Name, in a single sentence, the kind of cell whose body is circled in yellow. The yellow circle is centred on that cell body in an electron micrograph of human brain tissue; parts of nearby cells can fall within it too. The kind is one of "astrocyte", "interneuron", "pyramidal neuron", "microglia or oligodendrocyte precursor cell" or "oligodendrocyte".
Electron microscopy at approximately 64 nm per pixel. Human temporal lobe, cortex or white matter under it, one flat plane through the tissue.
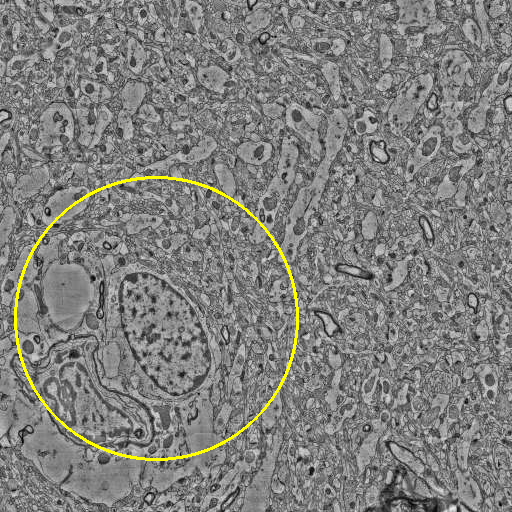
The circled cell body belongs to a microglial cell or oligodendrocyte precursor cell.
